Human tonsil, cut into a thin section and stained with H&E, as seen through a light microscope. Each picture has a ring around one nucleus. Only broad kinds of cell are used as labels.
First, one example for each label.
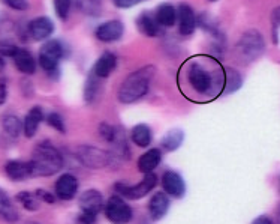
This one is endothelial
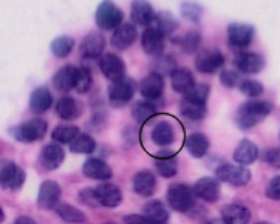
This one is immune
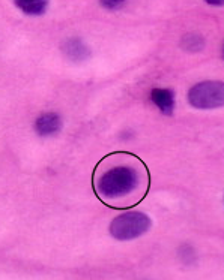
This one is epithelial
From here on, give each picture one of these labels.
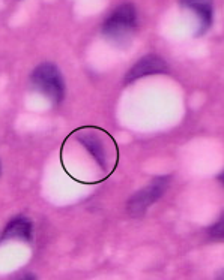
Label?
epithelial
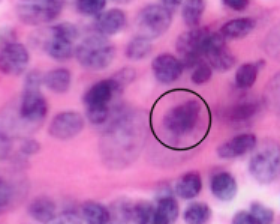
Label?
endothelial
